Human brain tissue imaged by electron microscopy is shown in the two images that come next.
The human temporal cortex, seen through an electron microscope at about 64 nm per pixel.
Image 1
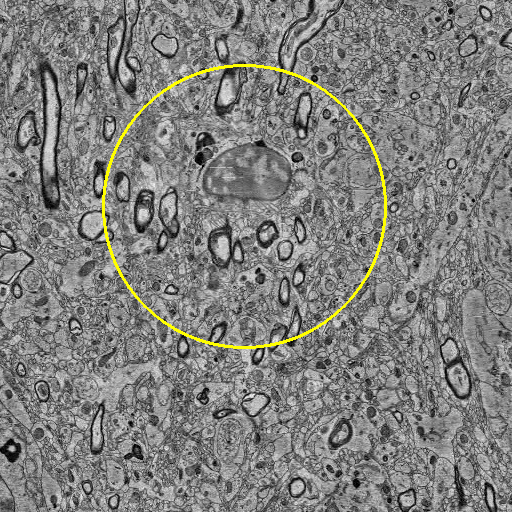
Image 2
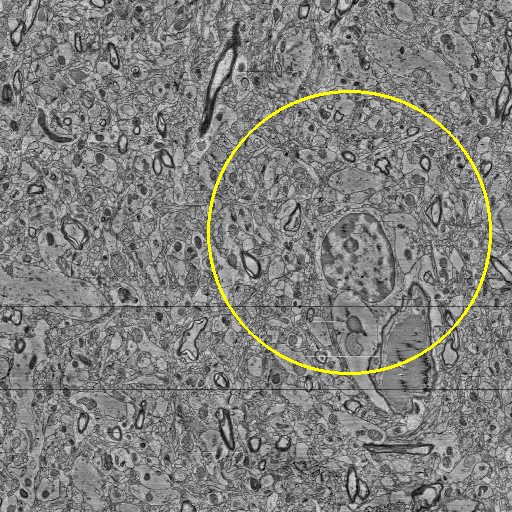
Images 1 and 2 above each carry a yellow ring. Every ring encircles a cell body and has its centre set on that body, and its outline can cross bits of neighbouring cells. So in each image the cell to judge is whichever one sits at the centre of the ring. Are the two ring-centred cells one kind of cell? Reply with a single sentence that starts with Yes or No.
Yes, in Image 1 and Image 2 the cells at the centres of their rings fall into one type.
